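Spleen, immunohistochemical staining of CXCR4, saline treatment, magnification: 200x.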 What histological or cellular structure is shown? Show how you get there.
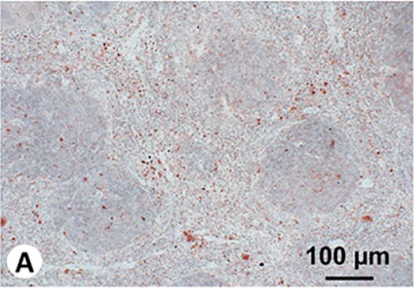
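Several rounded, densely cellular areas stand out from the looser surrounding tissue. The rounded areas stain more uniformly blue-grey than the tissue between them. That points to this answer: lymphoid follicles.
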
